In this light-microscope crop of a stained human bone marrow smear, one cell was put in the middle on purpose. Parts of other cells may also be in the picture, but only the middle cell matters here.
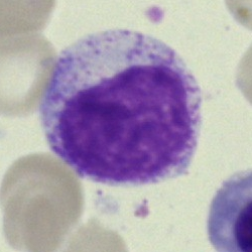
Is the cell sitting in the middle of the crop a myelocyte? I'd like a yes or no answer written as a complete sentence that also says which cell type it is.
Yes, the cell at the centre is designated a myelocyte.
